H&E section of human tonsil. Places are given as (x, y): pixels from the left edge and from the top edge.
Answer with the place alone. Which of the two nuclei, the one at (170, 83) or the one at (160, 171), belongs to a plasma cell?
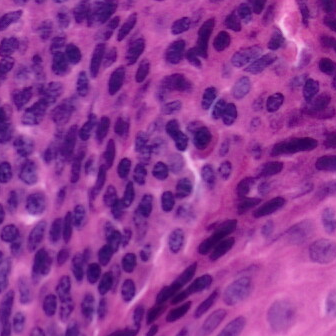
(160, 171)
